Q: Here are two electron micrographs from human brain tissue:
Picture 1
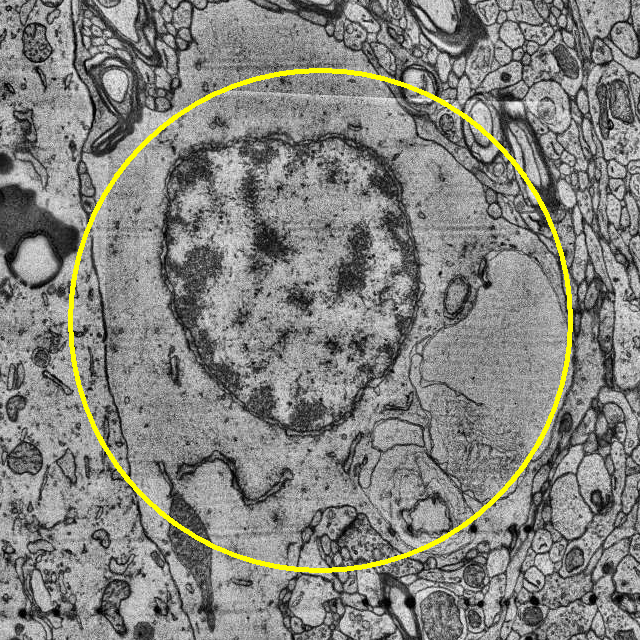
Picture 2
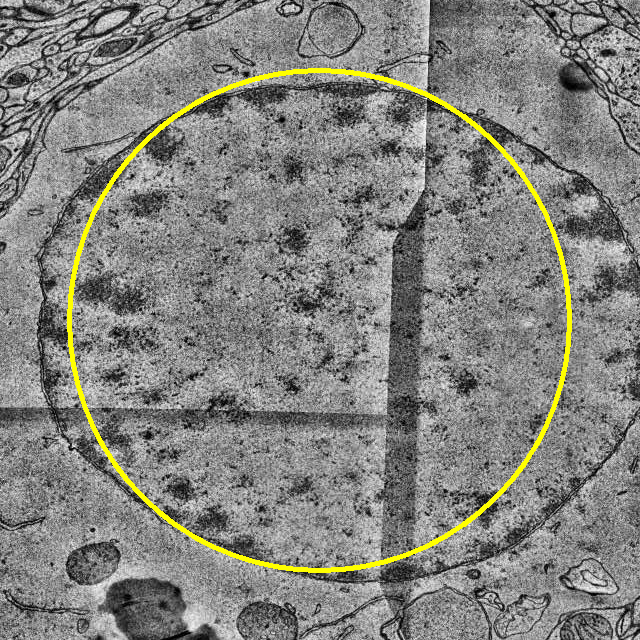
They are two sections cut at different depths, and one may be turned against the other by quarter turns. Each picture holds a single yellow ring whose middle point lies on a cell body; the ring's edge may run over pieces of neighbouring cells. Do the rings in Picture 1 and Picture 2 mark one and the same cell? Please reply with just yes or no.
no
